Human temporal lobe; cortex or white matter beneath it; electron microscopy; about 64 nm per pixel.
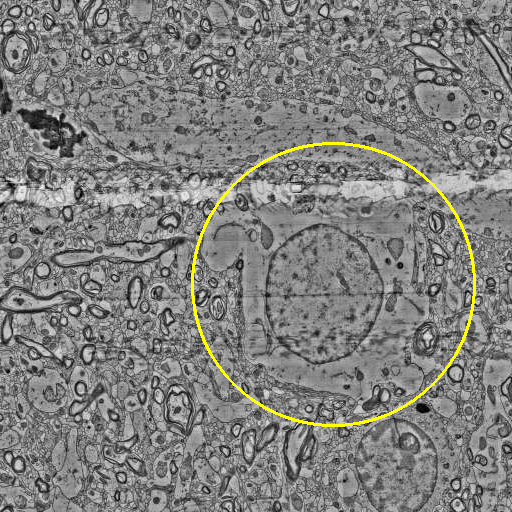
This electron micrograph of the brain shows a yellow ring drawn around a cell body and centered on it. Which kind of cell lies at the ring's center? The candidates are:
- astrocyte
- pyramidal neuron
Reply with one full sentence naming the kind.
The cell lying at the ring's center in this micrograph is an astrocyte.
